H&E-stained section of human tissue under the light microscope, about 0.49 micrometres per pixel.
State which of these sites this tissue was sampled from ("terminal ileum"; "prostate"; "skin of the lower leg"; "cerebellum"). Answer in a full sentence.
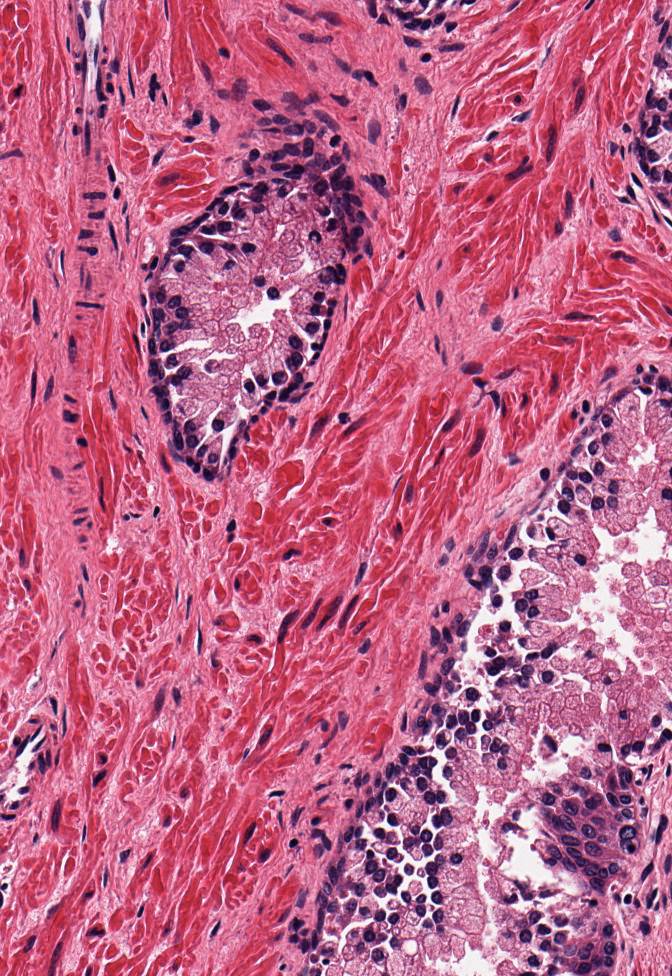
The site this tissue was sampled from is the prostate.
